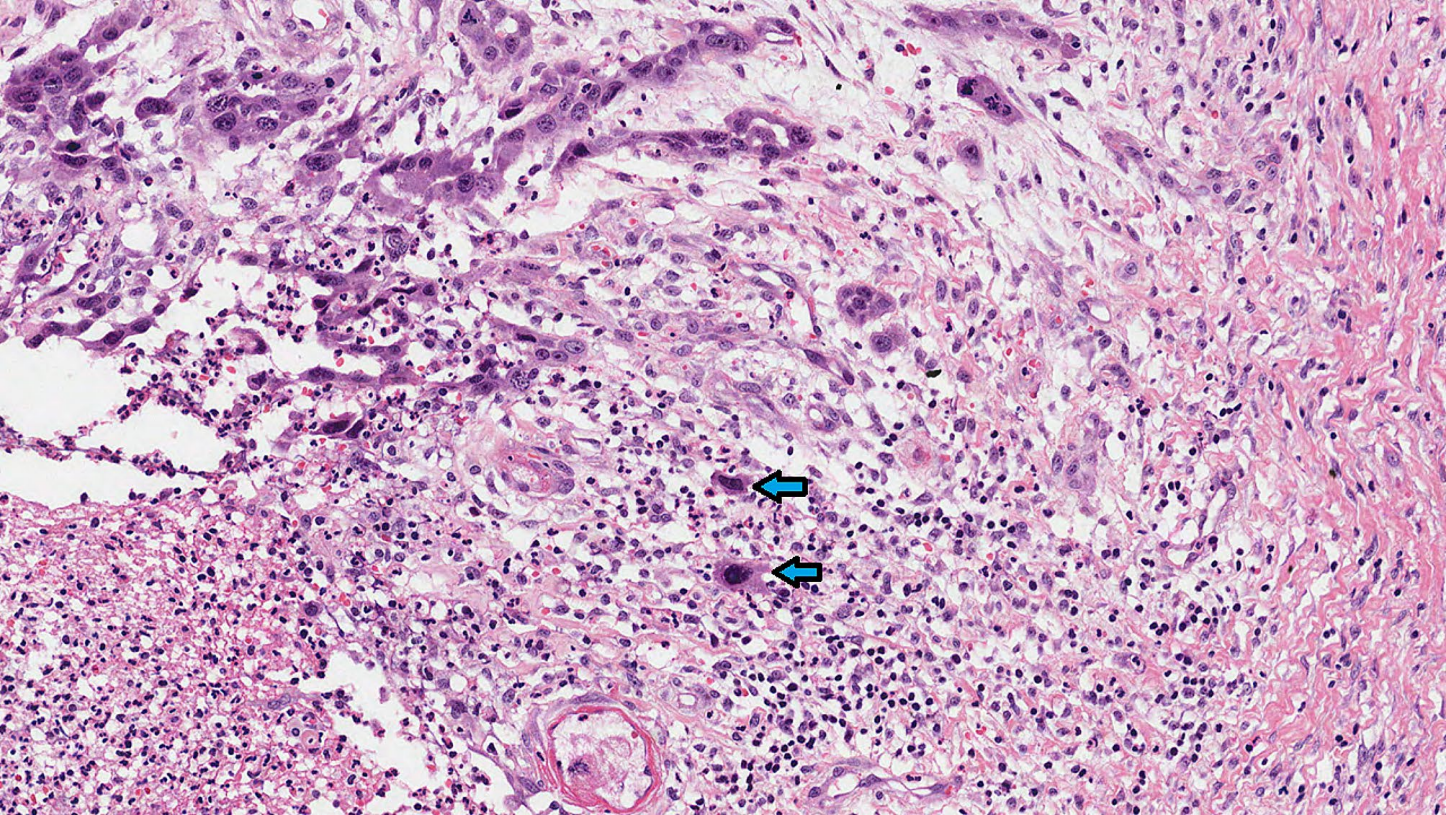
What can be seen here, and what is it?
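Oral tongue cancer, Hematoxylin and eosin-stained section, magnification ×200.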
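Tumour cells form irregular cords and nests in the upper left, made of large cells with abundant pink-purple cytoplasm and big nuclei with prominent nucleoli. Below and to the right, a loose, pale pink stroma is densely infiltrated by small round cells with dark nuclei and little cytoplasm. Within this infiltrate, single cells with enlarged, dark nuclei lie isolated from the tumour cords. Denser pink fibrous tissue lines the right edge, and small vessels with thick pink walls appear in the stroma.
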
